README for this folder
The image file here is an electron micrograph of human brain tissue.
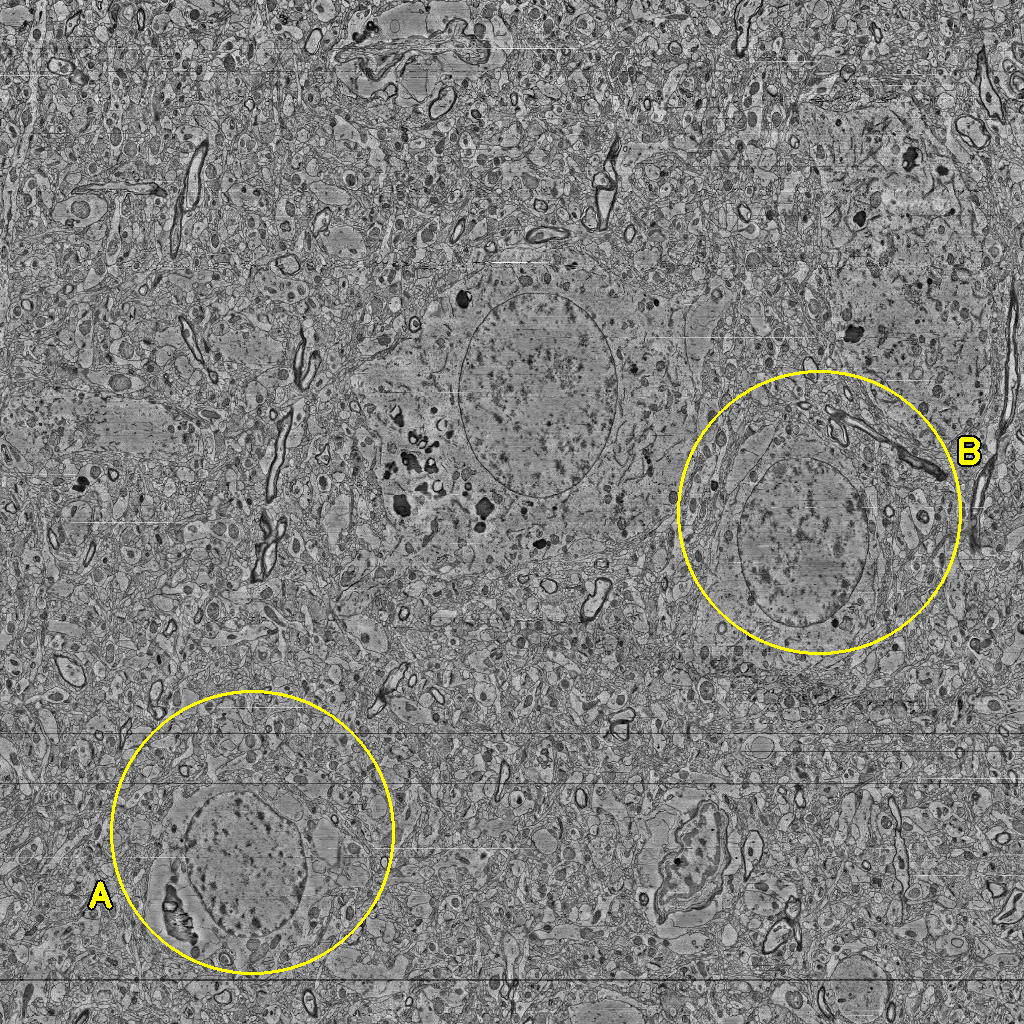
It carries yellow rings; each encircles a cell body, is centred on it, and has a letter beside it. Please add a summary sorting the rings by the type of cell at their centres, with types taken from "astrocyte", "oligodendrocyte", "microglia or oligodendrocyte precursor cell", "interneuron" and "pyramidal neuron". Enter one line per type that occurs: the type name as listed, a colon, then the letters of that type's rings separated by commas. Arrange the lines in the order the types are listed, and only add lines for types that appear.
astrocyte: A
pyramidal neuron: B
